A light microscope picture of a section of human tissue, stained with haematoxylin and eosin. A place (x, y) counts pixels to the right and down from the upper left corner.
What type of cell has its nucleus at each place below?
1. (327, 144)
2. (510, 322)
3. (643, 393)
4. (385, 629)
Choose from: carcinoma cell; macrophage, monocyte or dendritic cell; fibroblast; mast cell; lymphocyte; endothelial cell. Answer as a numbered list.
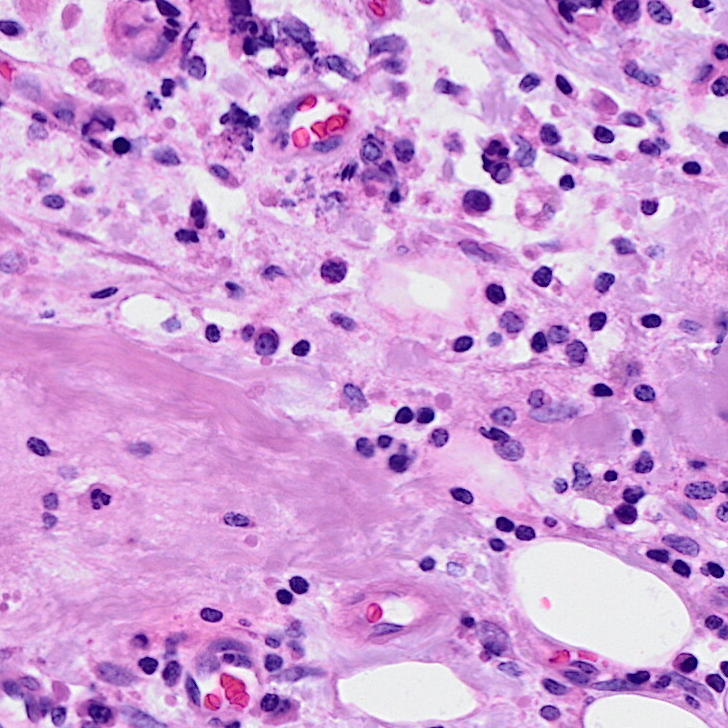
1. endothelial cell
2. macrophage, monocyte or dendritic cell
3. mast cell
4. endothelial cell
